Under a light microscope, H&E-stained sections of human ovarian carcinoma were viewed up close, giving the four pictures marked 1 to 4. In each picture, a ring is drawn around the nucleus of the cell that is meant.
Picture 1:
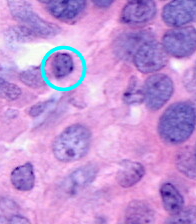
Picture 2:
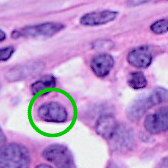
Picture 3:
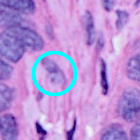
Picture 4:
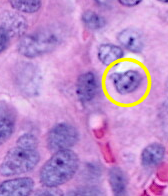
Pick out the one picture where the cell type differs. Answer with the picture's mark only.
3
